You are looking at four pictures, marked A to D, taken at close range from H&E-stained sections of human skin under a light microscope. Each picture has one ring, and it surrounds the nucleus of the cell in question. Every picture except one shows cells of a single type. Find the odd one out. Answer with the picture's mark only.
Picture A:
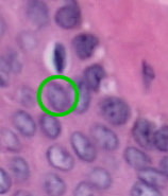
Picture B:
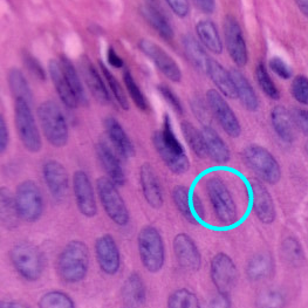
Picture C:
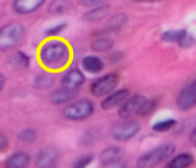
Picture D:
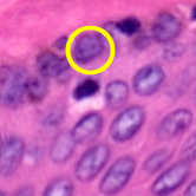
D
